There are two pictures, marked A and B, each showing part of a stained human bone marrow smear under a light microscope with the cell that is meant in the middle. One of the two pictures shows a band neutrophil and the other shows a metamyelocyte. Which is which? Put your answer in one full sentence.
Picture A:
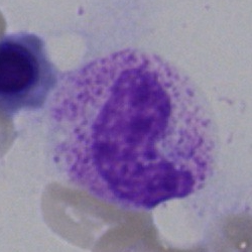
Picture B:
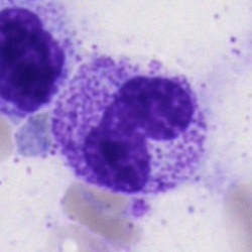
Picture B shows a metamyelocyte, while picture A shows a band neutrophil.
